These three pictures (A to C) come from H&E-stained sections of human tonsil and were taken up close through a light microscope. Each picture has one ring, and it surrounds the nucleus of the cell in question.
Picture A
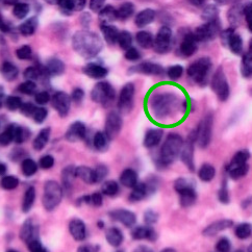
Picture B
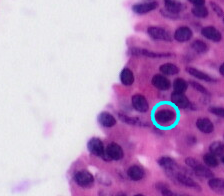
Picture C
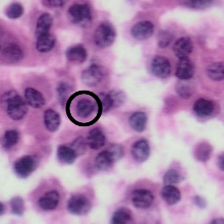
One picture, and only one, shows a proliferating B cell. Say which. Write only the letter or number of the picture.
A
